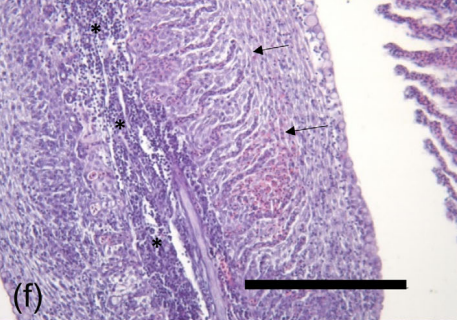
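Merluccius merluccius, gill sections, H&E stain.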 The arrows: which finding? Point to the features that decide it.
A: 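The spaces between lamellae are filled by packed cells.
Answer: increase in the thickness of the lamellar epithelium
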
